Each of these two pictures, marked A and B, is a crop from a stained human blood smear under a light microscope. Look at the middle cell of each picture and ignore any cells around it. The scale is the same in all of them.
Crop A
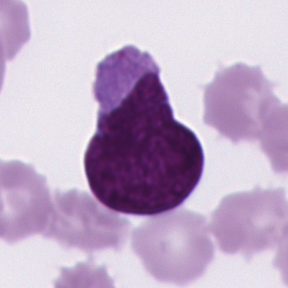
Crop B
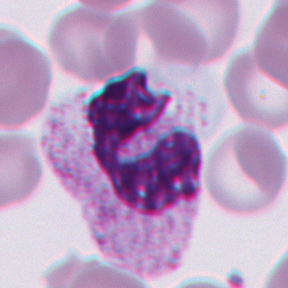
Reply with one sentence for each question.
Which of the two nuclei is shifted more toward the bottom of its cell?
Seen within its cell, the nucleus in crop A lies further toward the bottom.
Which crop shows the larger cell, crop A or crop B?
Crop B holds the larger cell; it covers about 1.5 times the area of the cell in crop A.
